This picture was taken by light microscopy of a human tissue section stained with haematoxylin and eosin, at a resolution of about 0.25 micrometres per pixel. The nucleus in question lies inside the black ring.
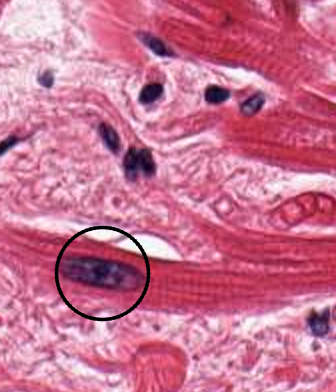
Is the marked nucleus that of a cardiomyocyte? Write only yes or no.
yes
